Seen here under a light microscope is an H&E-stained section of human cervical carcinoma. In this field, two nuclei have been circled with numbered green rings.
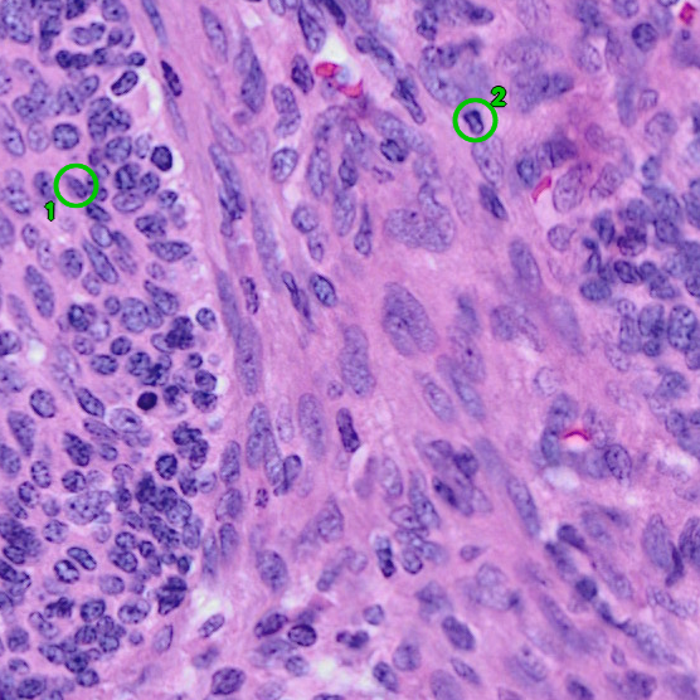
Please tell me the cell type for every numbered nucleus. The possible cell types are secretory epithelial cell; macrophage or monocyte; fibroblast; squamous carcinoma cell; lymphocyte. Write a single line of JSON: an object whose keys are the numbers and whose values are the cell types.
{"1": "squamous carcinoma cell", "2": "lymphocyte"}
